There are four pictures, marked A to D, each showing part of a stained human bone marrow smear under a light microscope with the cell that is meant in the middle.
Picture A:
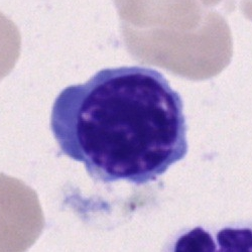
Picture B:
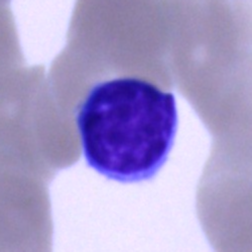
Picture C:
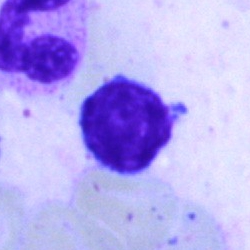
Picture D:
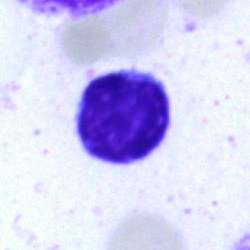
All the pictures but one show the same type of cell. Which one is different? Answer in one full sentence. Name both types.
The others show lymphocytes, but picture A shows an erythroblast.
